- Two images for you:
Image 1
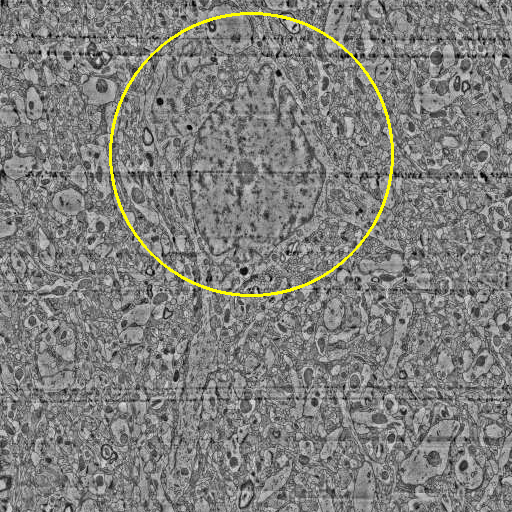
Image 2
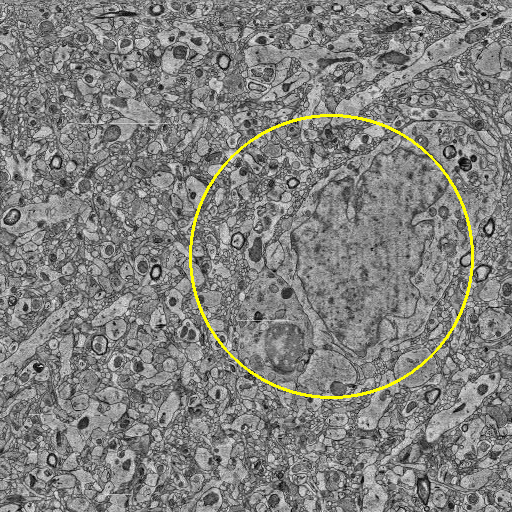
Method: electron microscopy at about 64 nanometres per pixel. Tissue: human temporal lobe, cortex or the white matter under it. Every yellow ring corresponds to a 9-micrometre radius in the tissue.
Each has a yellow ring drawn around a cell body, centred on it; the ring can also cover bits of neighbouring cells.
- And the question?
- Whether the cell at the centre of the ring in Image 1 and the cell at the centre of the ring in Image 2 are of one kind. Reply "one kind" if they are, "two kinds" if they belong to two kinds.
one kind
